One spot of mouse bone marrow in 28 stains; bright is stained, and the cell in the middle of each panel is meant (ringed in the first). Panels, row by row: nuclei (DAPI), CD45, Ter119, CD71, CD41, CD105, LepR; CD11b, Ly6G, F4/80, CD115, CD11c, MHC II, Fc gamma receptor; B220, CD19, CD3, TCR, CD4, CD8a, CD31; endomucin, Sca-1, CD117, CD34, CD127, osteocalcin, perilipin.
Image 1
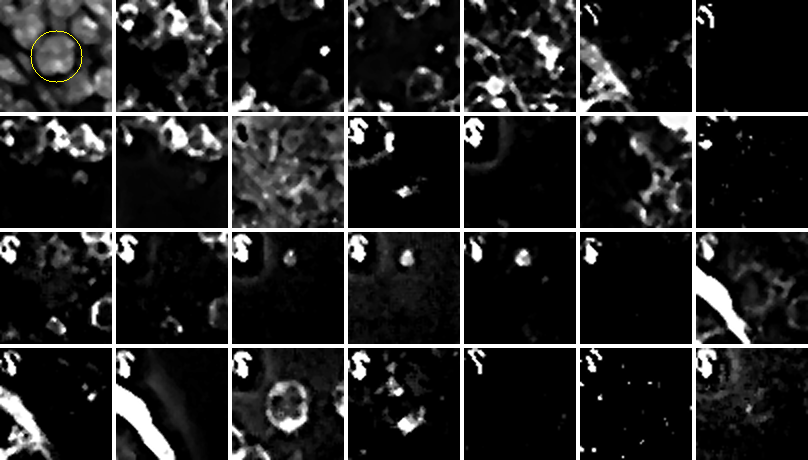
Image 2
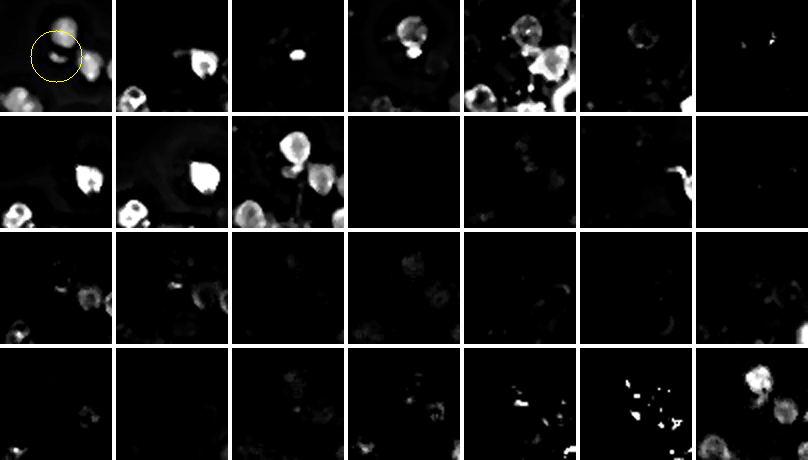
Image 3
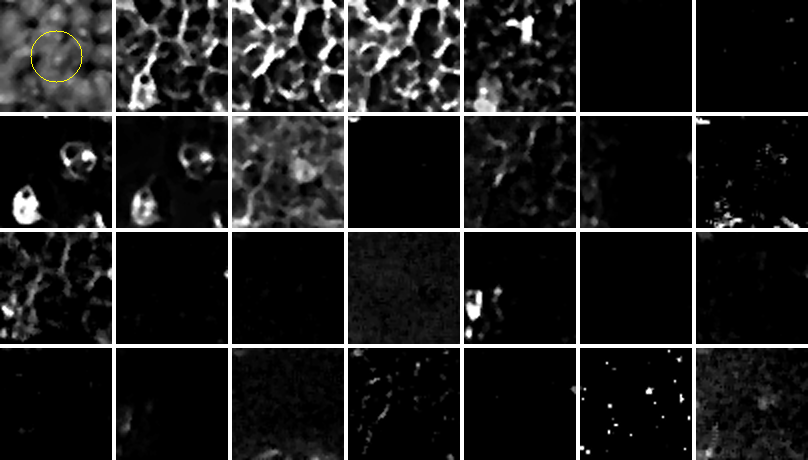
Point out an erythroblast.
That is picture 3.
